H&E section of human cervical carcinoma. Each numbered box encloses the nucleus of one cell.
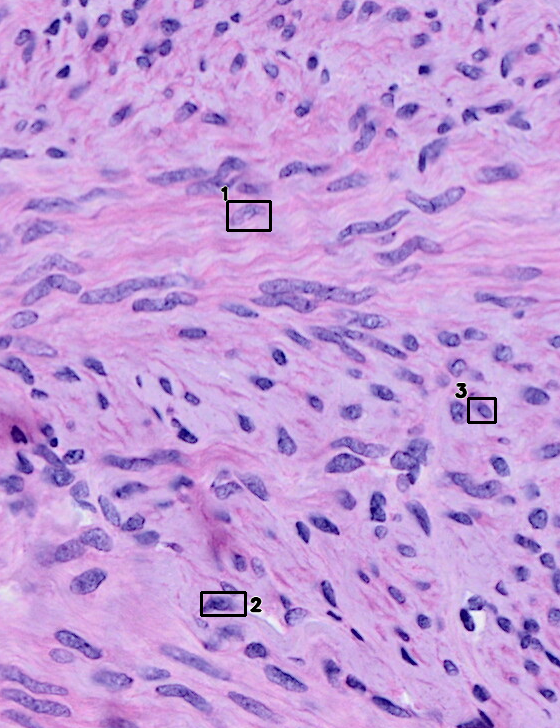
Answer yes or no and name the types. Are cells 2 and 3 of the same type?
No, cell 2 is a fibroblast and cell 3 is a smooth muscle cell.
